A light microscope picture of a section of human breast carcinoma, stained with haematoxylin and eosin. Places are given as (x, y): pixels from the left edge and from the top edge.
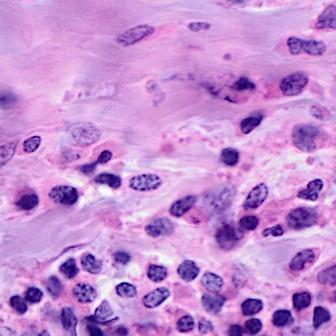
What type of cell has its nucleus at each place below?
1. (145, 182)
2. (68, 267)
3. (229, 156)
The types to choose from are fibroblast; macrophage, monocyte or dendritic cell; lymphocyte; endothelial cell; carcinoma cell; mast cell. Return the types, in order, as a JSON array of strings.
["mast cell", "lymphocyte", "lymphocyte"]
